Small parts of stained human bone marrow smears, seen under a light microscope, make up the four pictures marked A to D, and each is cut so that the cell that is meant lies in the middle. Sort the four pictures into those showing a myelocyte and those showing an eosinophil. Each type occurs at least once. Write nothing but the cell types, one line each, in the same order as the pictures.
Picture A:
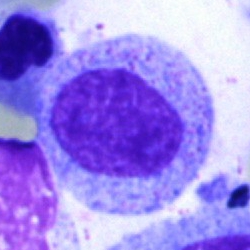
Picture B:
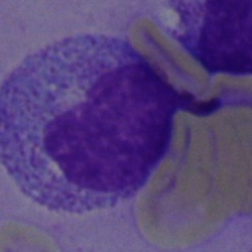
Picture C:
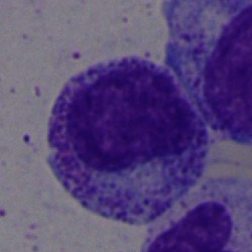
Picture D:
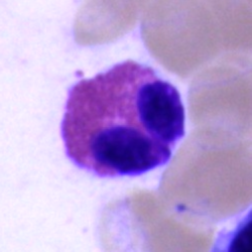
myelocyte
myelocyte
myelocyte
eosinophil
